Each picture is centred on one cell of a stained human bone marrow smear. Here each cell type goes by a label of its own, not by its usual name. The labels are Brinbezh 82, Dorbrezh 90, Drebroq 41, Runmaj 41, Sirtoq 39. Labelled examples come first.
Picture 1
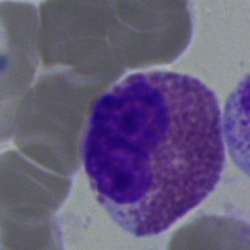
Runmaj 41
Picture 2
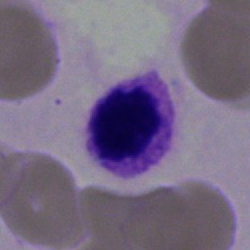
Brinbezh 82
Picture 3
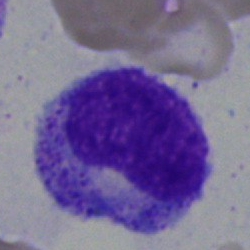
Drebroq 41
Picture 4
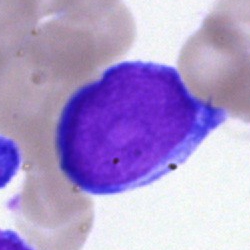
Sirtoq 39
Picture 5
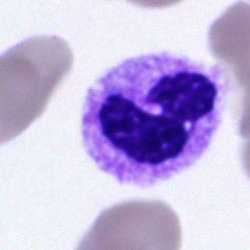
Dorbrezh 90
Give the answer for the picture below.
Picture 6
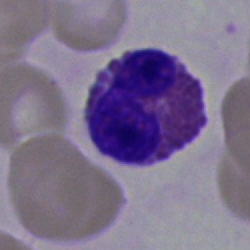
Runmaj 41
